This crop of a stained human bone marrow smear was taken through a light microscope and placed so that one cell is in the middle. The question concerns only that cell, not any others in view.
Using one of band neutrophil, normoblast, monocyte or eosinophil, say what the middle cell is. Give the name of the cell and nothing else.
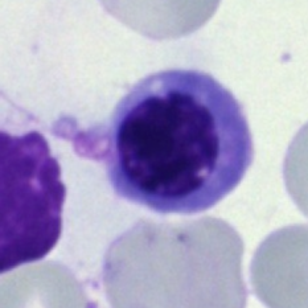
normoblast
